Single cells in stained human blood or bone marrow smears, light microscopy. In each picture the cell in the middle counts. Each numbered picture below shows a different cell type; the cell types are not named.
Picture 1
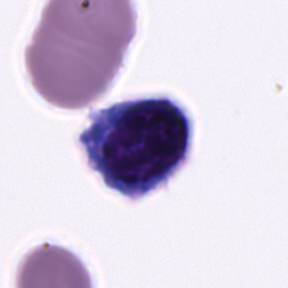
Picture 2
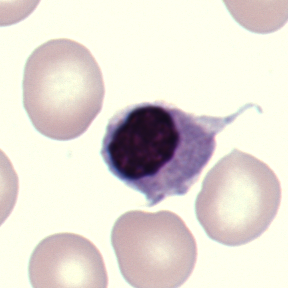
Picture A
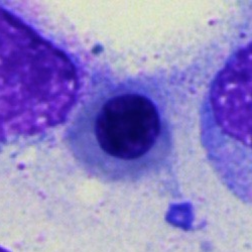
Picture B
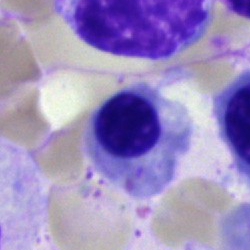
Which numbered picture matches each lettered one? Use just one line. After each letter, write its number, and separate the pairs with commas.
A 2, B 2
